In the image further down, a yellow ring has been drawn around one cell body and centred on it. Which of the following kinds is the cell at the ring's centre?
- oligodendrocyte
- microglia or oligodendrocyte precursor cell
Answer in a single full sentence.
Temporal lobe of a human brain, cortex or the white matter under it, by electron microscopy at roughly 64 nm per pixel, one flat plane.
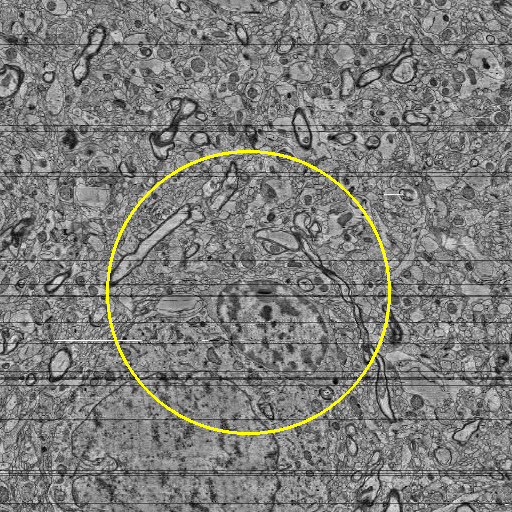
In the picture, the cell sitting at the centre of the yellow ring is an oligodendrocyte.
